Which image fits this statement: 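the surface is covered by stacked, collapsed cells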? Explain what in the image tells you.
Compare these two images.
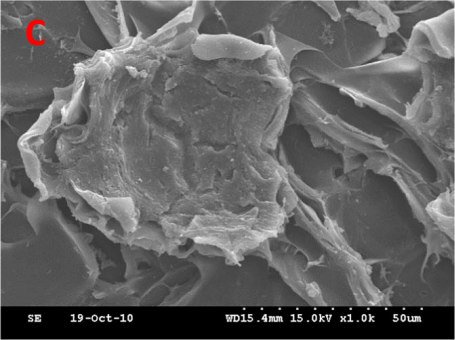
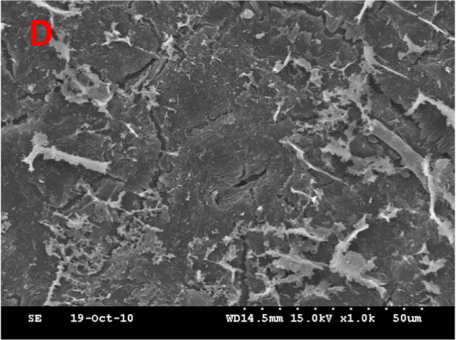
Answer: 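The first image. First image: large flattened cell-like plates with crumpled walls piled on one another.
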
